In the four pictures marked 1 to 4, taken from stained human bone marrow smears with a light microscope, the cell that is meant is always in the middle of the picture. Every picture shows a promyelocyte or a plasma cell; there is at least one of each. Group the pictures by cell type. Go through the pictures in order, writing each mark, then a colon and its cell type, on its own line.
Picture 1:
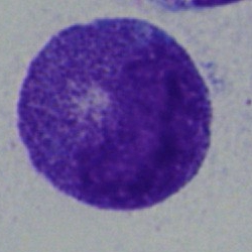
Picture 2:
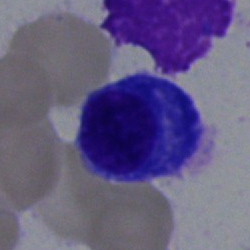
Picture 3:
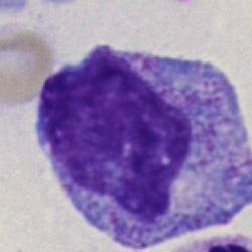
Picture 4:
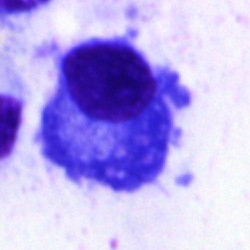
1: promyelocyte
2: plasma cell
3: promyelocyte
4: plasma cell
